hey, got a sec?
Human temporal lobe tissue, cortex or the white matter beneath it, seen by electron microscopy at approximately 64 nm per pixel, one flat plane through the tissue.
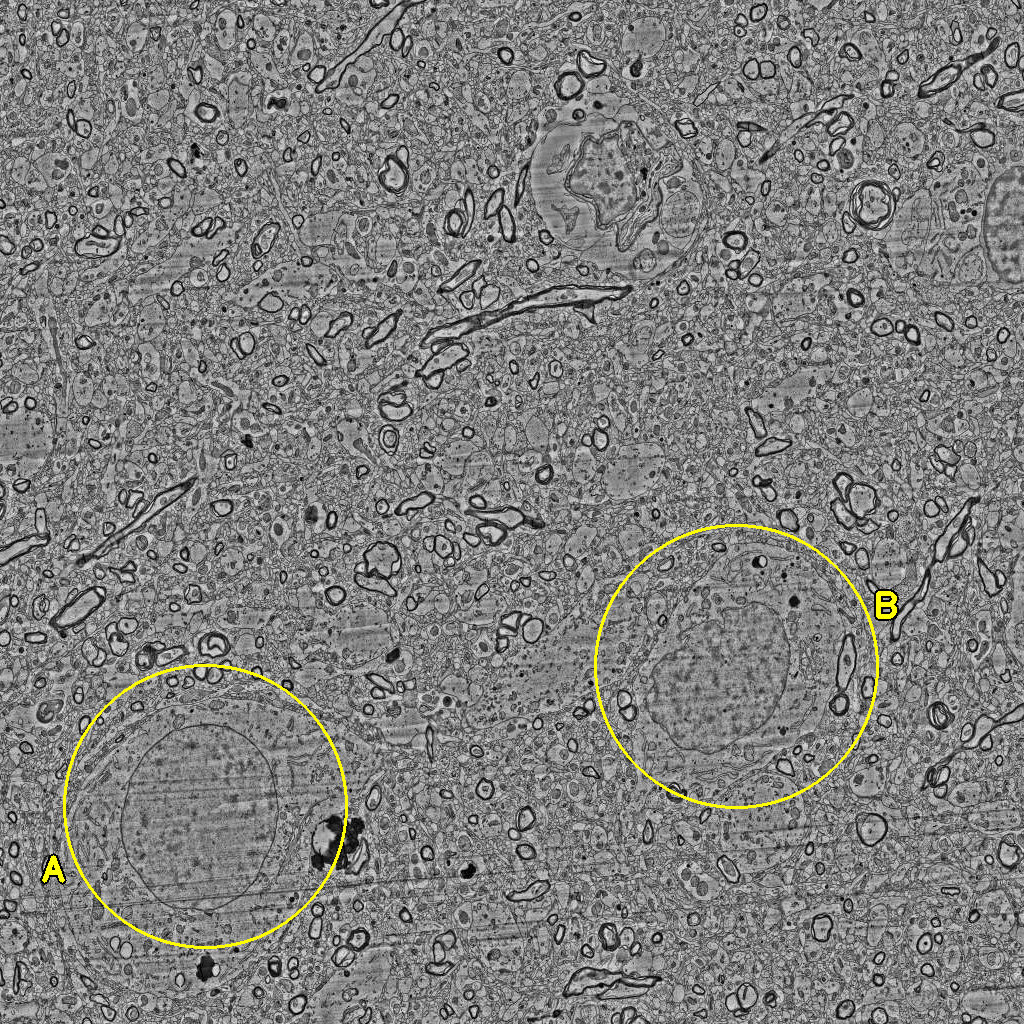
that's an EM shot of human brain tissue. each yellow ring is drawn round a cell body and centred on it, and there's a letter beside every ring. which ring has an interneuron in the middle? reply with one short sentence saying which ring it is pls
Ring B is the one centred on it.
